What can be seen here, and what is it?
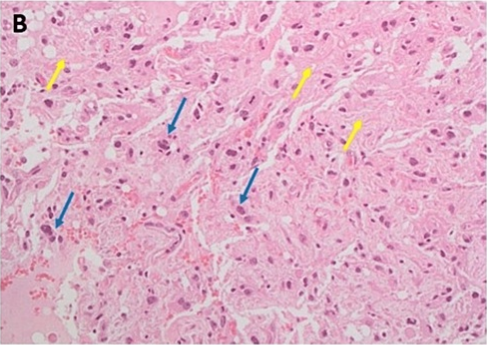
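Tumor tissue of stromal cells showing nuclear atypia within areas of hyalinization. The stromal cells have pale pink cytoplasm, some with small clear vacuoles, and purple nuclei that differ in size and shape. Several nuclei are enlarged and darkly stained. Between the cells lie streaks and patches of pale, glassy pink, cell-poor material. Thin cleft-like spaces separate bands of tissue, and red blood cells are seen in a few spaces, especially toward the lower part of the field.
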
